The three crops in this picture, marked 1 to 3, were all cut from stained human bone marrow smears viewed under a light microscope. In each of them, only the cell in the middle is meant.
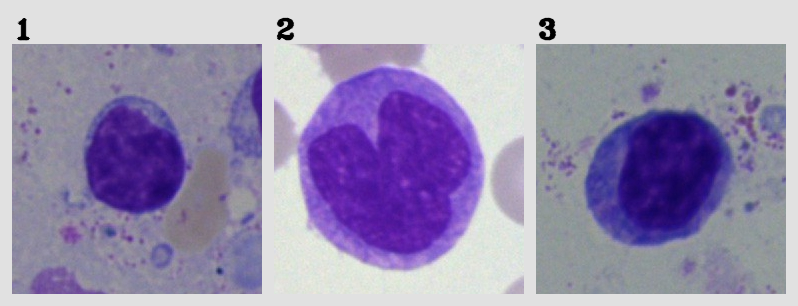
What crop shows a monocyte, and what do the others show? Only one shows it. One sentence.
Sorting them out, crop 3 is a monocyte, while crop 1 is a lymphocyte and crop 2 is a blast.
